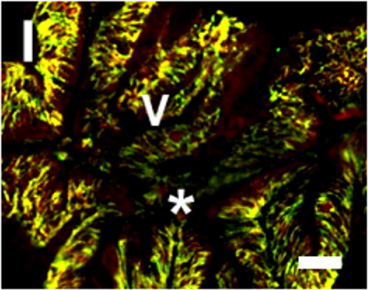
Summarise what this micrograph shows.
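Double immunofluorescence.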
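The epithelial cells are marked by bright streaks that are mostly yellow, where green and red overlap. The streaks run along the sides of the columnar cells, across the thickness of the epithelium. The lumen between folds is left dark.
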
